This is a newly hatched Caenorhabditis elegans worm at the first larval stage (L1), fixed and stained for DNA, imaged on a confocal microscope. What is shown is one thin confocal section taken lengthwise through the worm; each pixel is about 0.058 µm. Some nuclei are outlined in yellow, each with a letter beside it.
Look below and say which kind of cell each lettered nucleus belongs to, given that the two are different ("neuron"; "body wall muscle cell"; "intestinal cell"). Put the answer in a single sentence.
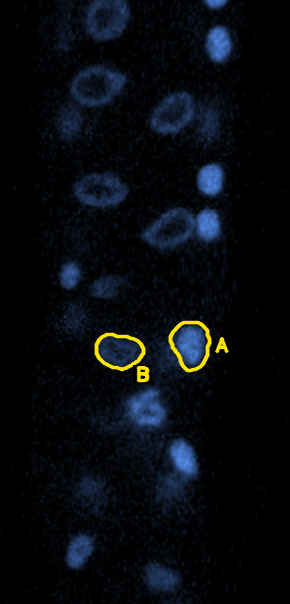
Nucleus A comes from a neuron and nucleus B from an intestinal cell.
